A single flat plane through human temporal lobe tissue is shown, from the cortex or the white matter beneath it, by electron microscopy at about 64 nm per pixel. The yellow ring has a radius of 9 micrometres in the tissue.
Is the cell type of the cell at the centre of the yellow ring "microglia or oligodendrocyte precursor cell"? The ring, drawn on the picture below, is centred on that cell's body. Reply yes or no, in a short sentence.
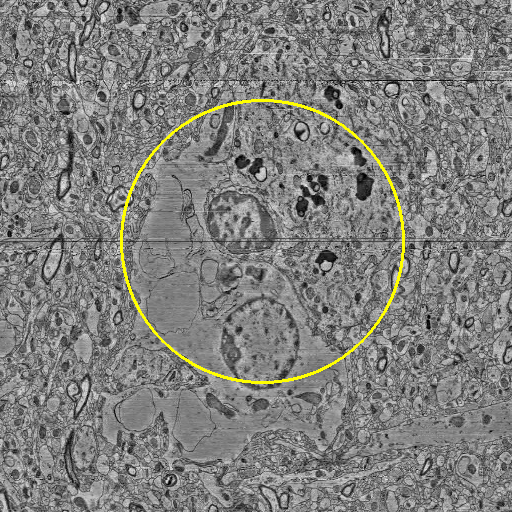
Yes, that is its cell type.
